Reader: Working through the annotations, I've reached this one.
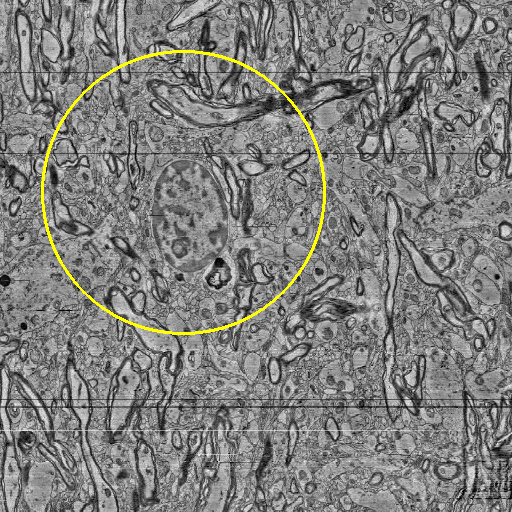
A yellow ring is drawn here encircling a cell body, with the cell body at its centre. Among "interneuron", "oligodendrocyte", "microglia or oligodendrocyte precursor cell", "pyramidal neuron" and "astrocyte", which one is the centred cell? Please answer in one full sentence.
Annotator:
The cell body at the centre of the yellow ring in this image belongs to a microglial cell or oligodendrocyte precursor cell.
